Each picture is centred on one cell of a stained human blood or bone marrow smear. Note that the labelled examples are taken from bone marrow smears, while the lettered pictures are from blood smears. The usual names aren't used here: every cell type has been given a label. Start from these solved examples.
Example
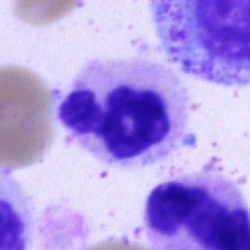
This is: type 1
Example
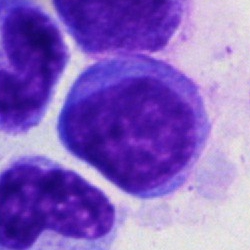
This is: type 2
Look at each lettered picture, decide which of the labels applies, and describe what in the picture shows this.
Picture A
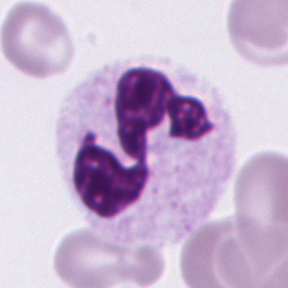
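Answer: type 1. The nucleus is divided into three lobes.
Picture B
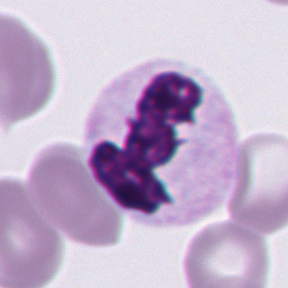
Answer: type 1. The cytoplasm is abundant and pale pinkish-lilac.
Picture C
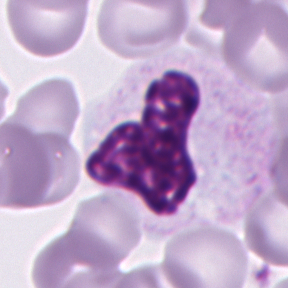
Answer: type 1. The nucleus is a thick band bent into a folded, angular shape.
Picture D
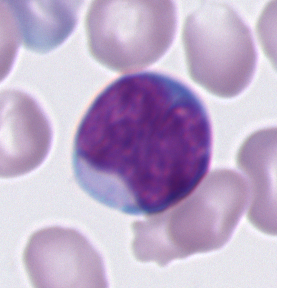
Answer: type 2. The cytoplasm is blue.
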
